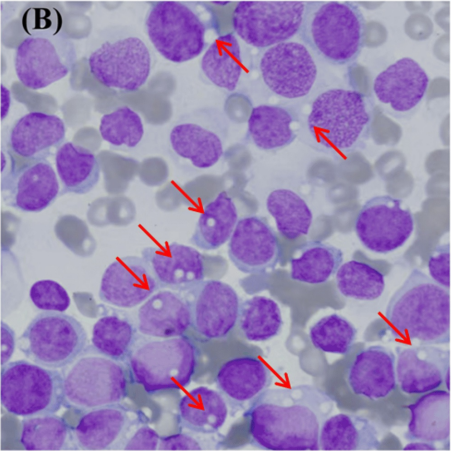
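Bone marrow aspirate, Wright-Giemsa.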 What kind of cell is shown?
lymphoblast-like cells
